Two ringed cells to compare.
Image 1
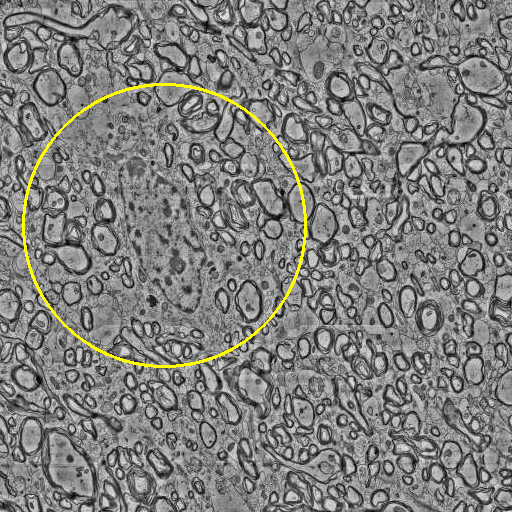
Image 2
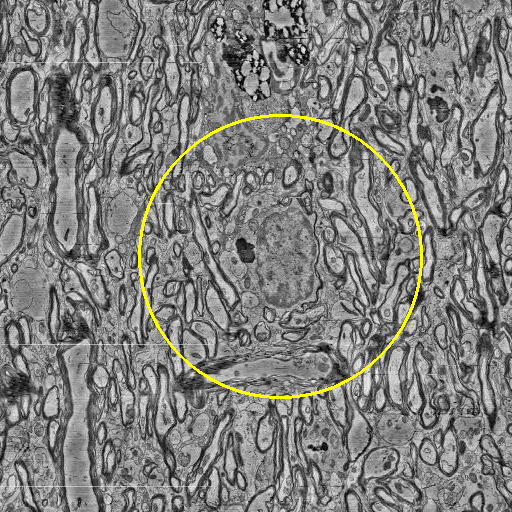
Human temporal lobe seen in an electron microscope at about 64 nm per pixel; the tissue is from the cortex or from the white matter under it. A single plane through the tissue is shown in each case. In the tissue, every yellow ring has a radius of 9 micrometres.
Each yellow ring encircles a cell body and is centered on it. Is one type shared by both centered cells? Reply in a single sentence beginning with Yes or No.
No, two types are found among the cells at the centers of the rings.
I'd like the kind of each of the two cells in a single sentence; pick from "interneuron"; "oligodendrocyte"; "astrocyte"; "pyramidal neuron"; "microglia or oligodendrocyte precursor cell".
The first ring marks an astrocyte, and the second ring marks an oligodendrocyte.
